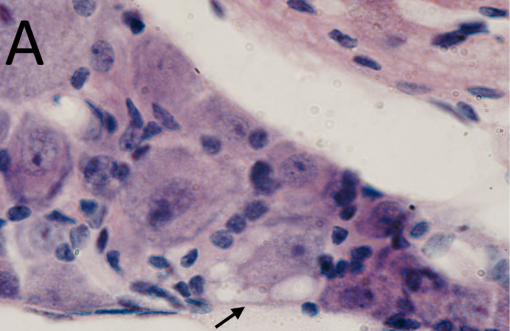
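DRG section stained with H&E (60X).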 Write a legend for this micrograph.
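Large sensory neurons of a ganglion show abundant pink-purple cytoplasm and round nuclei with prominent nucleoli. Between and around them lie many small cells with dark, elongated or oval nuclei. Near the lower edge, clear round empty spaces sit within the cytoplasm of a neuron, standing out against the stained cytoplasm.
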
